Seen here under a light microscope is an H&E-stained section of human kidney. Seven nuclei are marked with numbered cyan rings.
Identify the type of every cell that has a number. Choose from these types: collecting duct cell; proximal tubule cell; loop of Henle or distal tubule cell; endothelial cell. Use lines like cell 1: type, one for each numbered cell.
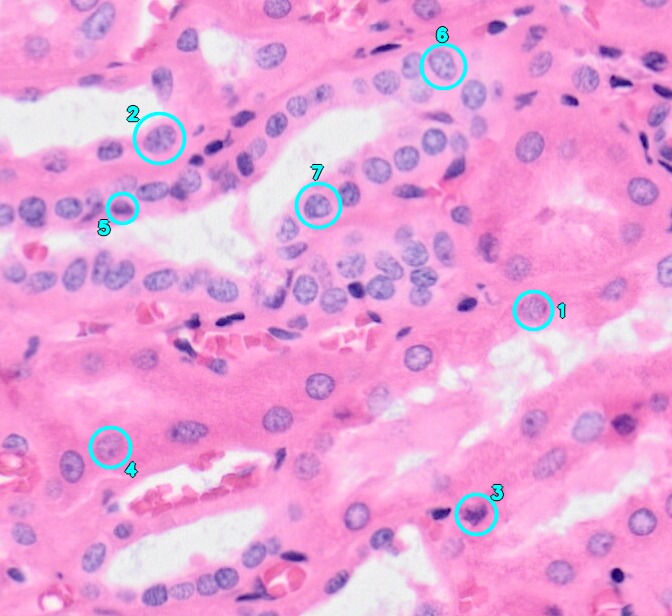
cell 1: proximal tubule cell
cell 2: loop of Henle or distal tubule cell
cell 3: proximal tubule cell
cell 4: proximal tubule cell
cell 5: collecting duct cell
cell 6: collecting duct cell
cell 7: collecting duct cell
